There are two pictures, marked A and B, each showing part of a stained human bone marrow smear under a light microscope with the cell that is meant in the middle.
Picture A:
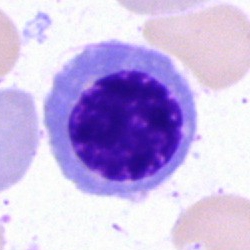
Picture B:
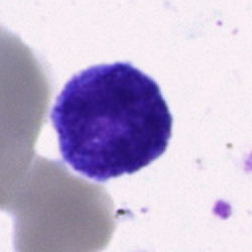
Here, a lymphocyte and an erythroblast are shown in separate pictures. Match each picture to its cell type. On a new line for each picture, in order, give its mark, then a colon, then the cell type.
A: erythroblast
B: lymphocyte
